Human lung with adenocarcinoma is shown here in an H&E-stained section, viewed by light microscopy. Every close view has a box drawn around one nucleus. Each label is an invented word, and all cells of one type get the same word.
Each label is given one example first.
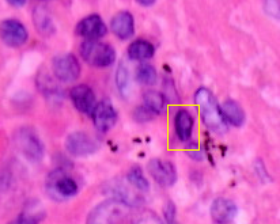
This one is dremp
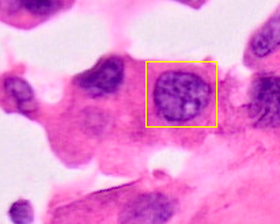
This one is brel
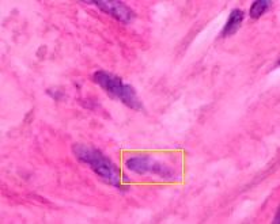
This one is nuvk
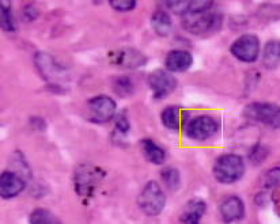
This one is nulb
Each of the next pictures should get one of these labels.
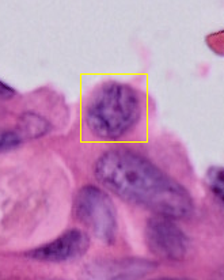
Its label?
brel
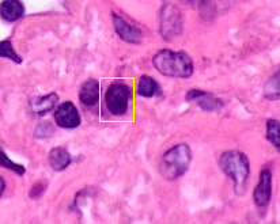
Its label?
dremp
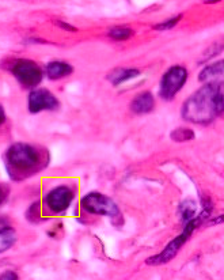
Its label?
dremp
